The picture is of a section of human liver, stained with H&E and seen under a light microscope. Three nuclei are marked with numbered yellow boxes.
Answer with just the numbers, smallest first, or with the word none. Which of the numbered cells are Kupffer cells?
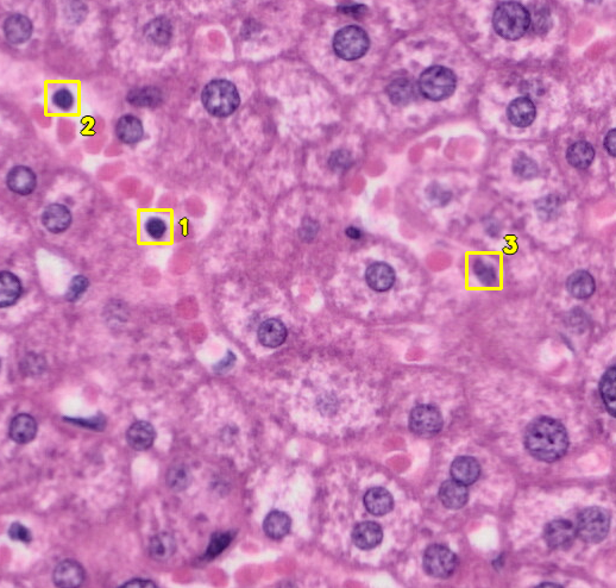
3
